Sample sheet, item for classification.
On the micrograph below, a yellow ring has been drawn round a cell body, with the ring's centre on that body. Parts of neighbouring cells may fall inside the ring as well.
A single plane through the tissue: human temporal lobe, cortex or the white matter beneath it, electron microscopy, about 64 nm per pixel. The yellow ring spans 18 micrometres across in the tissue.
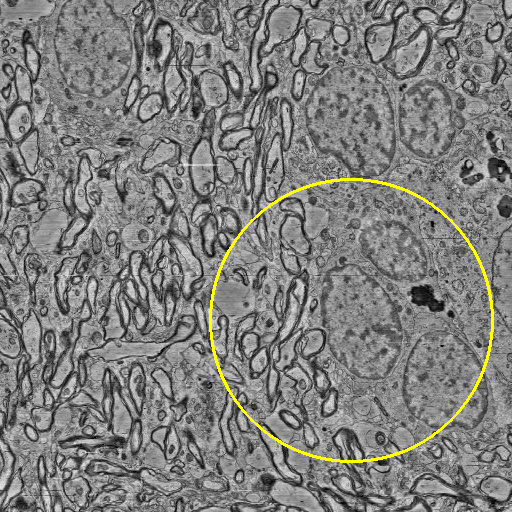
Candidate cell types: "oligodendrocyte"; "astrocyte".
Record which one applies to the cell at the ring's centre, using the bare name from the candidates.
oligodendrocyte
